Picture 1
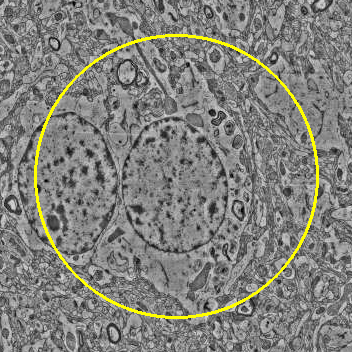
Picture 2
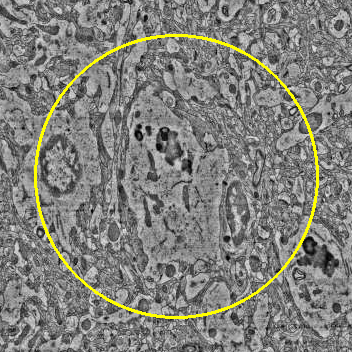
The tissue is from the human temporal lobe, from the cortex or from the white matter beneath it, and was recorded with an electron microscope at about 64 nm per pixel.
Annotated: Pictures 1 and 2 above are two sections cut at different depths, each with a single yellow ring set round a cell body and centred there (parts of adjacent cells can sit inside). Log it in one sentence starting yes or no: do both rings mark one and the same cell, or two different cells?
No, the rings mark two cells rather than a single cell.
